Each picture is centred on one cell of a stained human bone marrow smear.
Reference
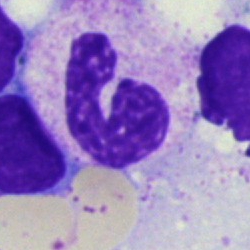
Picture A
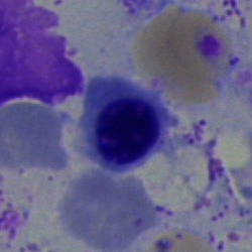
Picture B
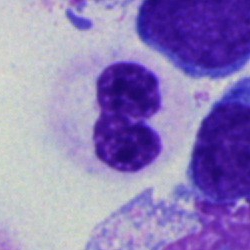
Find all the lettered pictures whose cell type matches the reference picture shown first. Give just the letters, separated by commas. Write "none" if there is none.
B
